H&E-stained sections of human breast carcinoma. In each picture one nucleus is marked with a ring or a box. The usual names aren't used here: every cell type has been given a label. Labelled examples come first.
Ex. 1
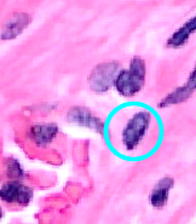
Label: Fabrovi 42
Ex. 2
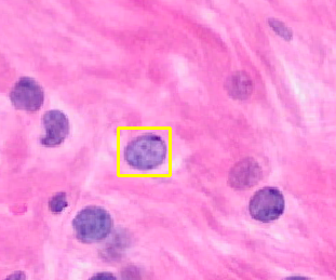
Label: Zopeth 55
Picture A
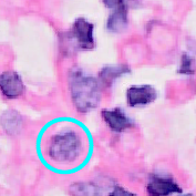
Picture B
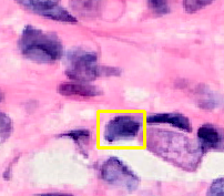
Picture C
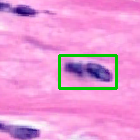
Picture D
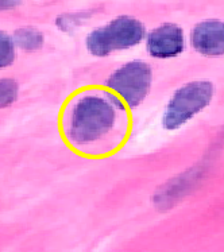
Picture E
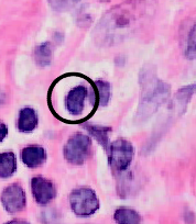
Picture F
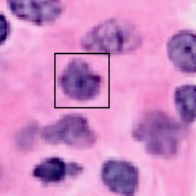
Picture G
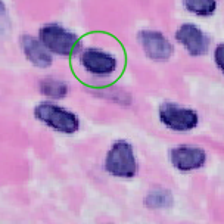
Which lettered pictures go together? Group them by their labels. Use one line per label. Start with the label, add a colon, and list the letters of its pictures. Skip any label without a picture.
Fabrovi 42: C, E, F, G
Zopeth 55: A, B, D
